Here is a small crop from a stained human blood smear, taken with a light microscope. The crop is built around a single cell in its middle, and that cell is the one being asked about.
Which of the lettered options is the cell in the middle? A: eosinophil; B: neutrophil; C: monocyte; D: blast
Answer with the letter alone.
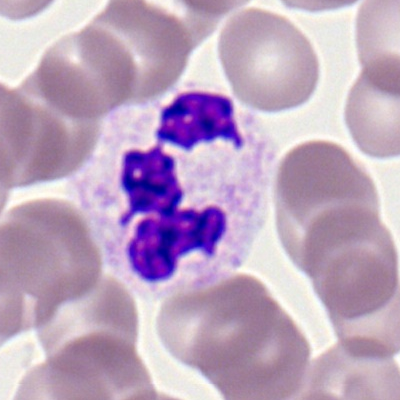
B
